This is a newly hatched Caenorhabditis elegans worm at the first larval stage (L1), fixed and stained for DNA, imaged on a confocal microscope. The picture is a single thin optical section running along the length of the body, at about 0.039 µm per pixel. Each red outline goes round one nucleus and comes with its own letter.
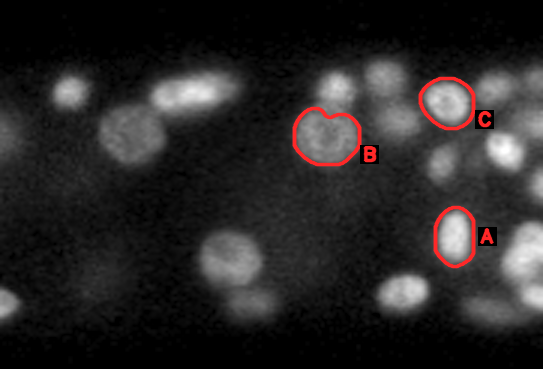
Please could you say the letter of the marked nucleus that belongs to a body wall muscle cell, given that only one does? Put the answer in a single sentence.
The nucleus of a body wall muscle cell is C.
